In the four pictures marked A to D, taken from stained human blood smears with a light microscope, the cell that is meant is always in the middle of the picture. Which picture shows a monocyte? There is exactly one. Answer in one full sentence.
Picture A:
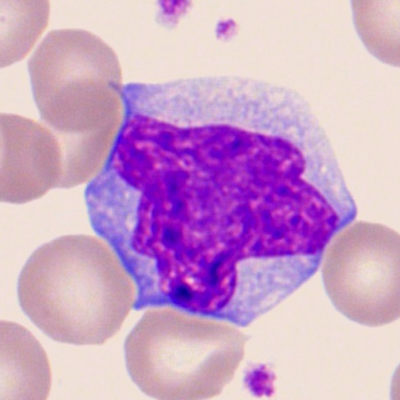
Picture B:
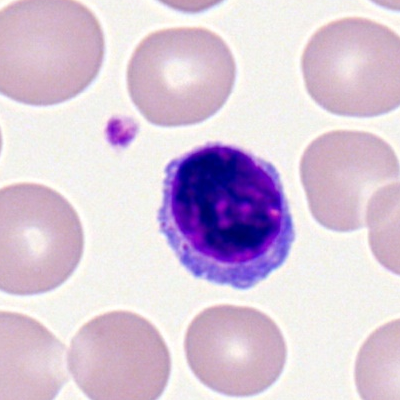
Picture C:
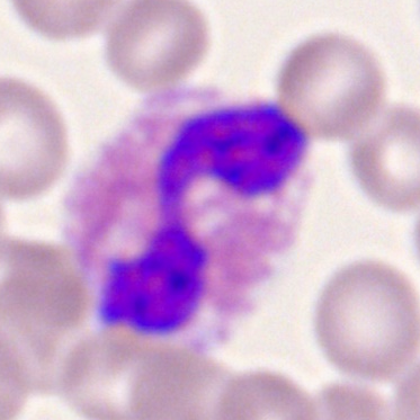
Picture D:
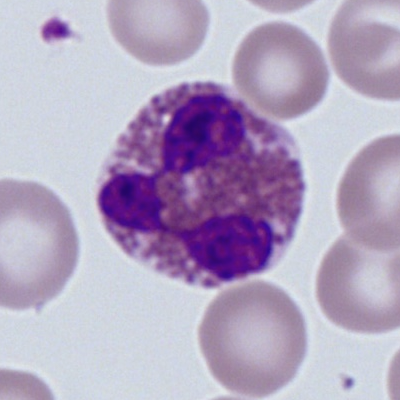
It is picture A that shows the monocyte.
